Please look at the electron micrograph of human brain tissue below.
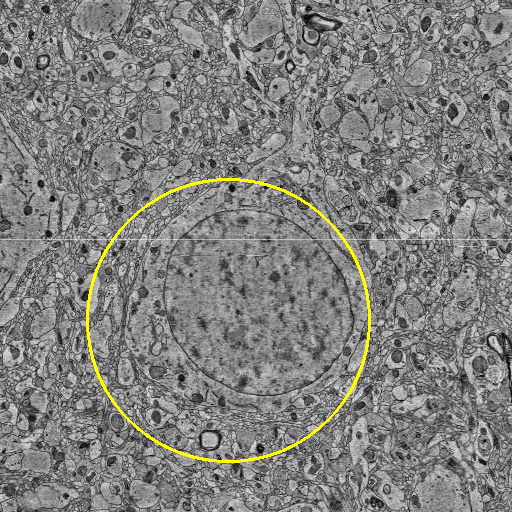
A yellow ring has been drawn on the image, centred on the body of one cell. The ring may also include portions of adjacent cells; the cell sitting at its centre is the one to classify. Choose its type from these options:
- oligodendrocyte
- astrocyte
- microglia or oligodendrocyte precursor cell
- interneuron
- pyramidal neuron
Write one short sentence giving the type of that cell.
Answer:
The cell in the middle of the ring is a pyramidal neuron.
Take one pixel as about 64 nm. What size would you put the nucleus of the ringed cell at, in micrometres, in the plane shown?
Approximately 12 micrometres across, in this plane.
